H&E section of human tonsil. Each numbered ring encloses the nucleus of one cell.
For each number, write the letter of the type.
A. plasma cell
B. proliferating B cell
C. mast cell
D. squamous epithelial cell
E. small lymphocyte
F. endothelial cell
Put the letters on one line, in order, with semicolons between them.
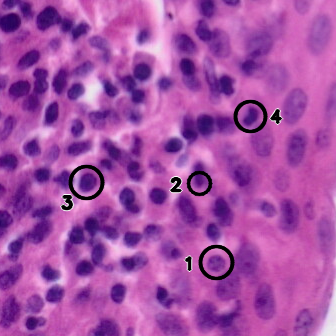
D; D; A; D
